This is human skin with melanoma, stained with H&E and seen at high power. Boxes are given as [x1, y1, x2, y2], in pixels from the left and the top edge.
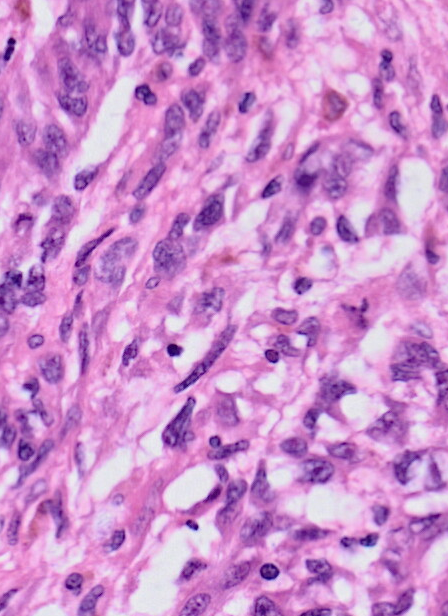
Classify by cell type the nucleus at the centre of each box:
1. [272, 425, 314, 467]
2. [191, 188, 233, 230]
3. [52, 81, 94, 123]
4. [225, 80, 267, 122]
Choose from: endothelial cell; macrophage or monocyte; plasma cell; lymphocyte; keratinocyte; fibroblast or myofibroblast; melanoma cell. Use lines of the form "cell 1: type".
cell 1: melanoma cell
cell 2: melanoma cell
cell 3: melanoma cell
cell 4: lymphocyte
